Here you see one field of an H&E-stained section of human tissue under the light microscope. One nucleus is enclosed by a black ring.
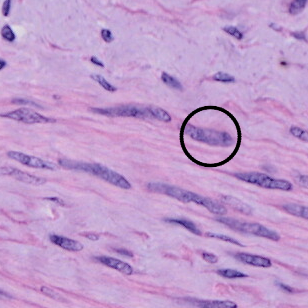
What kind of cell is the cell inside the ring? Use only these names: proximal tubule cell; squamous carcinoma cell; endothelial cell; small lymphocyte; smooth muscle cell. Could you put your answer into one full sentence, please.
It is as a smooth muscle cell that the cell inside the ring is recorded.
